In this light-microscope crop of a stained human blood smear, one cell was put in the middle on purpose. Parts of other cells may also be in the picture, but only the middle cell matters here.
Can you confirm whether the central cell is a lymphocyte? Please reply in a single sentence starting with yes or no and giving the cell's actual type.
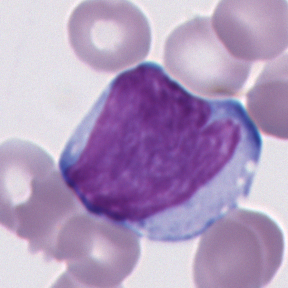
No, the cell in the middle is correctly named a blast, not a lymphocyte.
